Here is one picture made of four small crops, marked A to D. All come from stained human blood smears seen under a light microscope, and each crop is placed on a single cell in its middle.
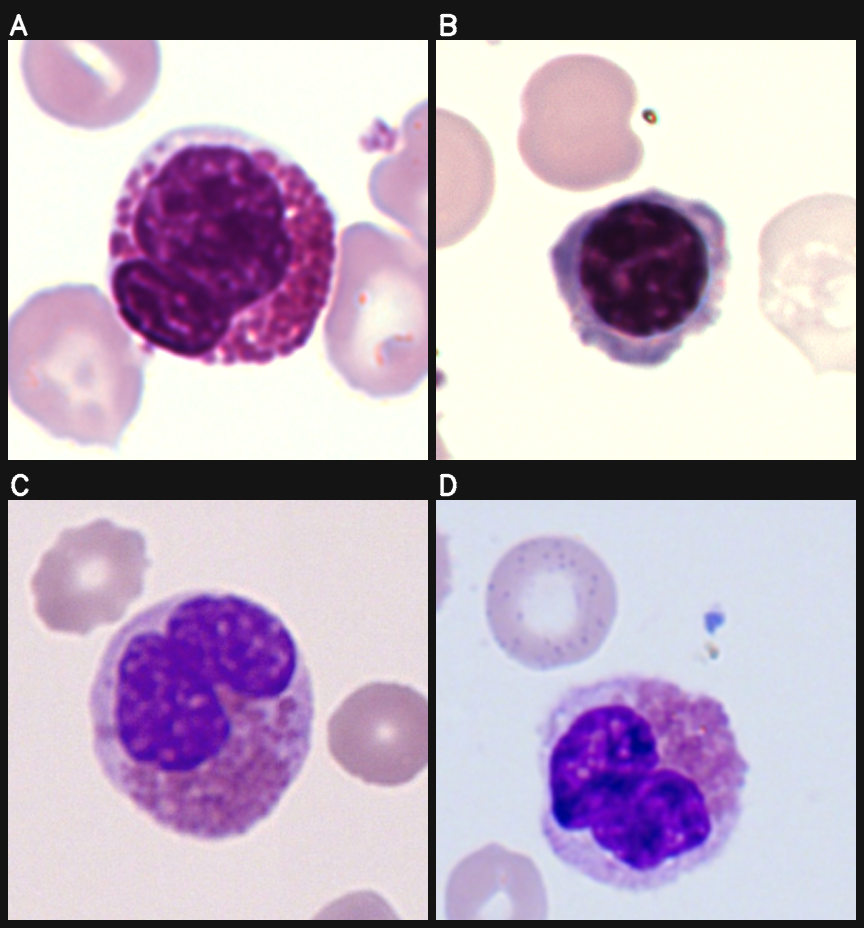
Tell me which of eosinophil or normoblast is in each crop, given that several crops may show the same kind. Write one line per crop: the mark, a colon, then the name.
A: eosinophil
B: normoblast
C: eosinophil
D: eosinophil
